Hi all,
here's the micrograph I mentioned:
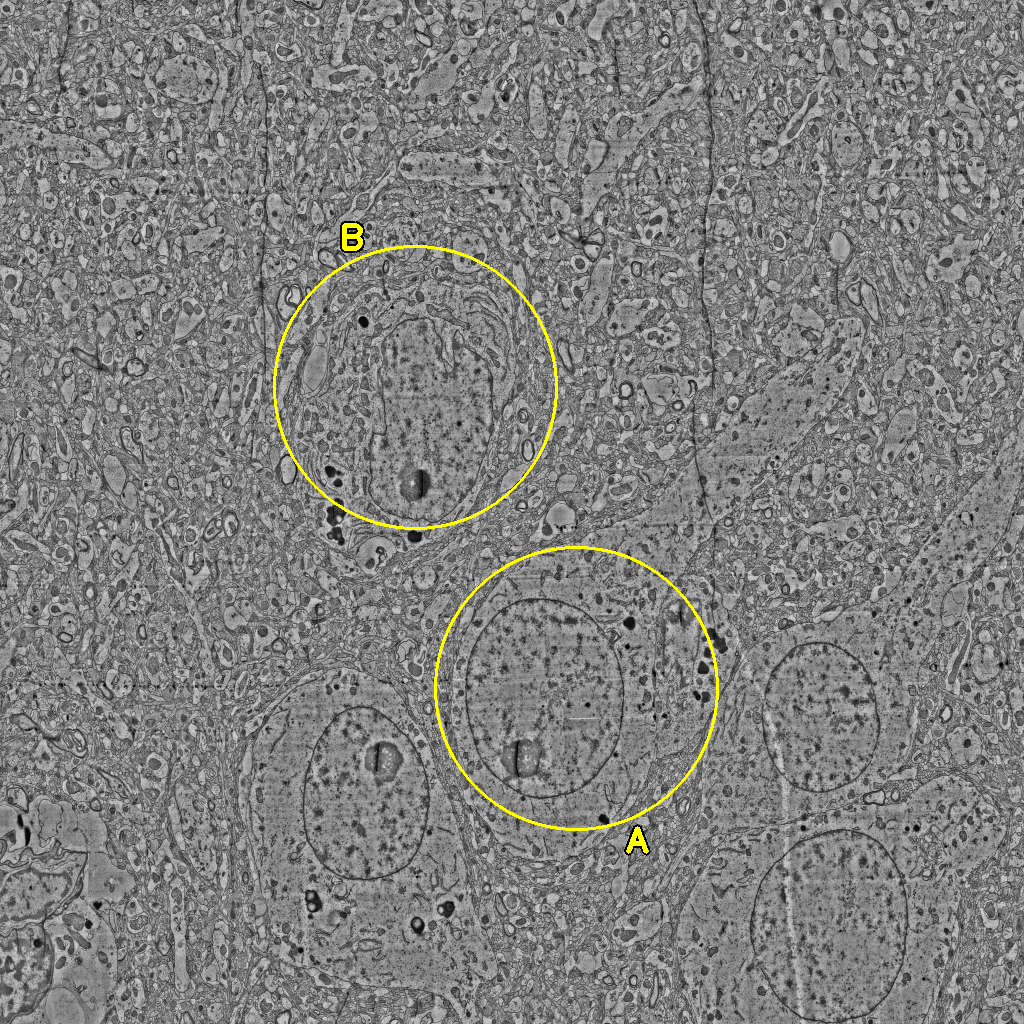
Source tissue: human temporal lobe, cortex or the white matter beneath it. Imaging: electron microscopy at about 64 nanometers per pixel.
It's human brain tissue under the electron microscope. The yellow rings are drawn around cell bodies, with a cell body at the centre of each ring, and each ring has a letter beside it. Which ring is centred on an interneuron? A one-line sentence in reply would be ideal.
It's the one labelled B.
